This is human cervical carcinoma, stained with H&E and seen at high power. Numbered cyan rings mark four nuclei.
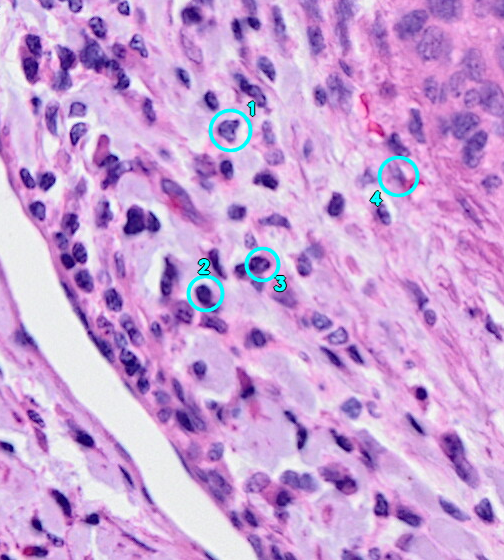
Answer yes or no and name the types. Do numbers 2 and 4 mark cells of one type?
No, cell 2 is a lymphocyte and cell 4 is an endothelial cell.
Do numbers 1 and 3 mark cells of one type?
Yes, both are lymphocytes.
